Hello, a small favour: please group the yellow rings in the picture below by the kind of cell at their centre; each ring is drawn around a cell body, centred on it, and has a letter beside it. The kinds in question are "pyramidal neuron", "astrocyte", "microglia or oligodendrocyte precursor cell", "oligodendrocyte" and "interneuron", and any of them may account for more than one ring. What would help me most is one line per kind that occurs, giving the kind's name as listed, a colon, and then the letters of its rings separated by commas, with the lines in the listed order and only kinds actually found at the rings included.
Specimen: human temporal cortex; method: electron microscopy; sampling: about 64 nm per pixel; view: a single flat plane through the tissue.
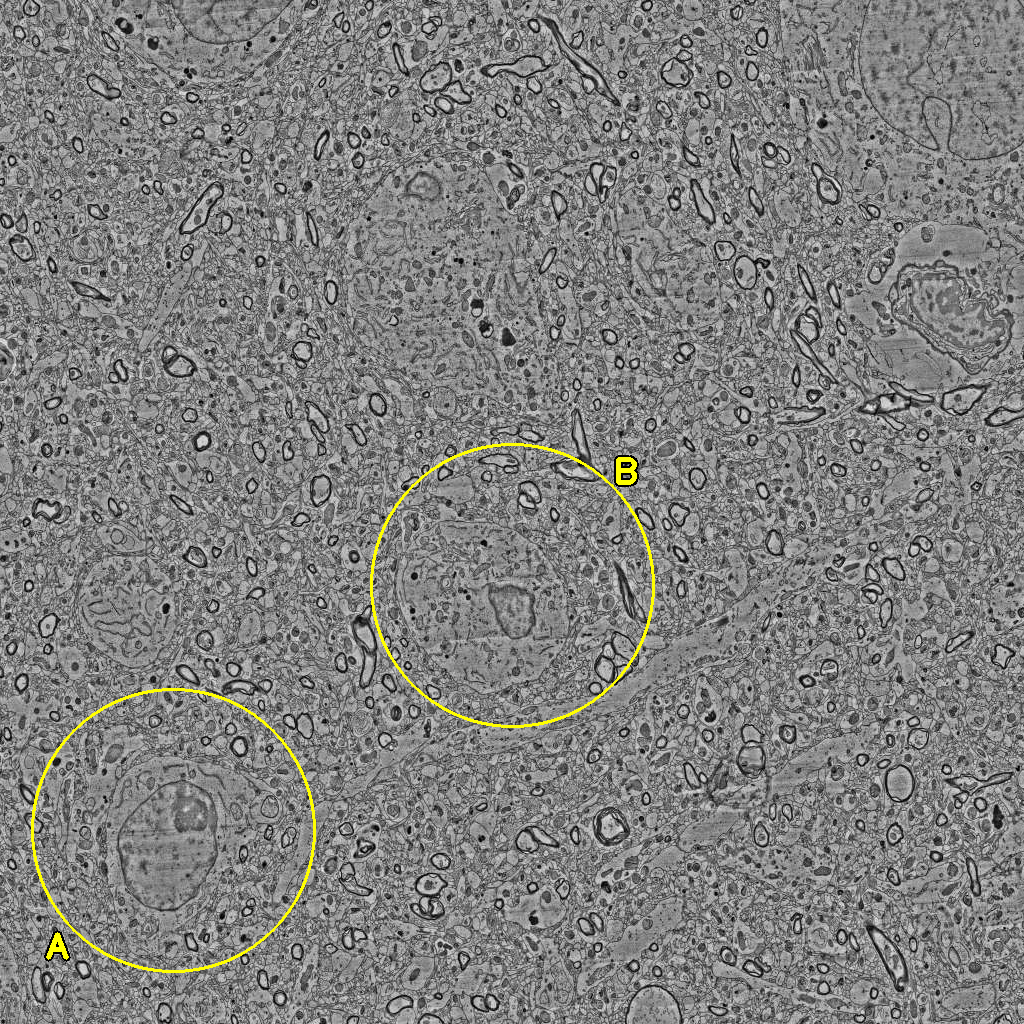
pyramidal neuron: A, B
